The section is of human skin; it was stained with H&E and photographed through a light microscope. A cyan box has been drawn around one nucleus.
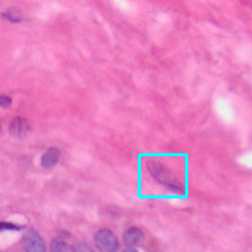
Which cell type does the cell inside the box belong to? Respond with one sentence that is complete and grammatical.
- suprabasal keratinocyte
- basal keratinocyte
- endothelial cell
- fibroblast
On this particular slide, the cell inside the box is a fibroblast.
